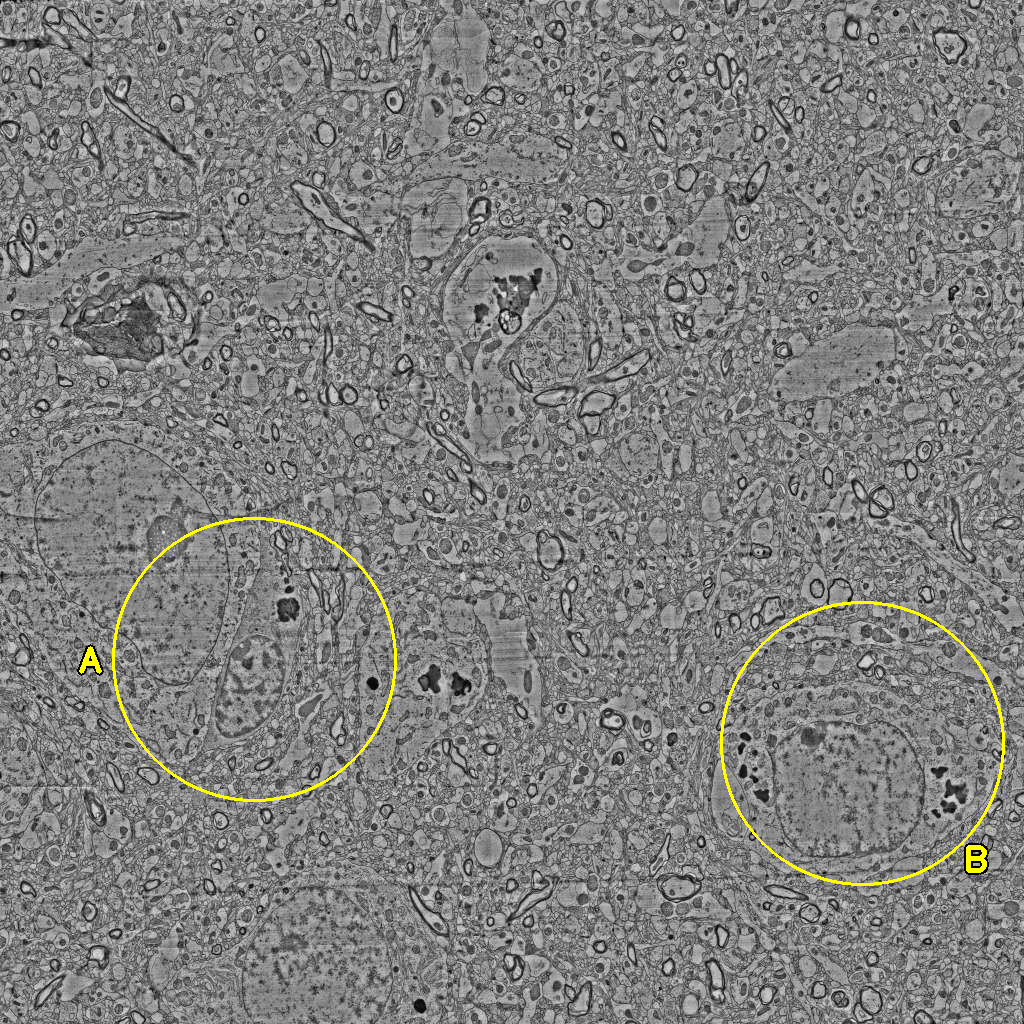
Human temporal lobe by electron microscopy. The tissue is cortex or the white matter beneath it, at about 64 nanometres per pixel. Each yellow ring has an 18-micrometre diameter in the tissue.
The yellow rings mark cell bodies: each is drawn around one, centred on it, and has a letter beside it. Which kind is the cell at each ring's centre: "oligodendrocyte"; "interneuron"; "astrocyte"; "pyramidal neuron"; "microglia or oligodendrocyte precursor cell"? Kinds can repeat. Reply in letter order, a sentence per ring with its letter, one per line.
At the centre of ring A lies an oligodendrocyte.
At the centre of ring B lies an interneuron.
